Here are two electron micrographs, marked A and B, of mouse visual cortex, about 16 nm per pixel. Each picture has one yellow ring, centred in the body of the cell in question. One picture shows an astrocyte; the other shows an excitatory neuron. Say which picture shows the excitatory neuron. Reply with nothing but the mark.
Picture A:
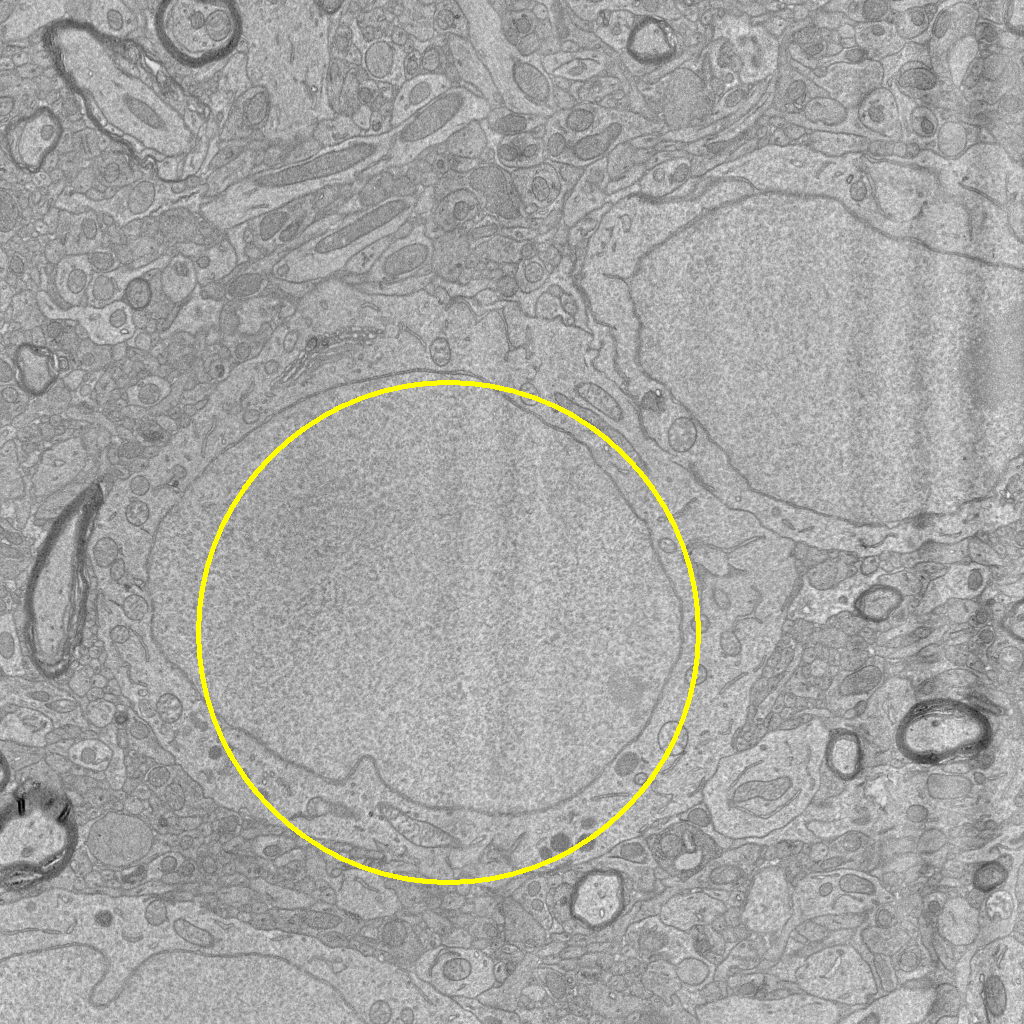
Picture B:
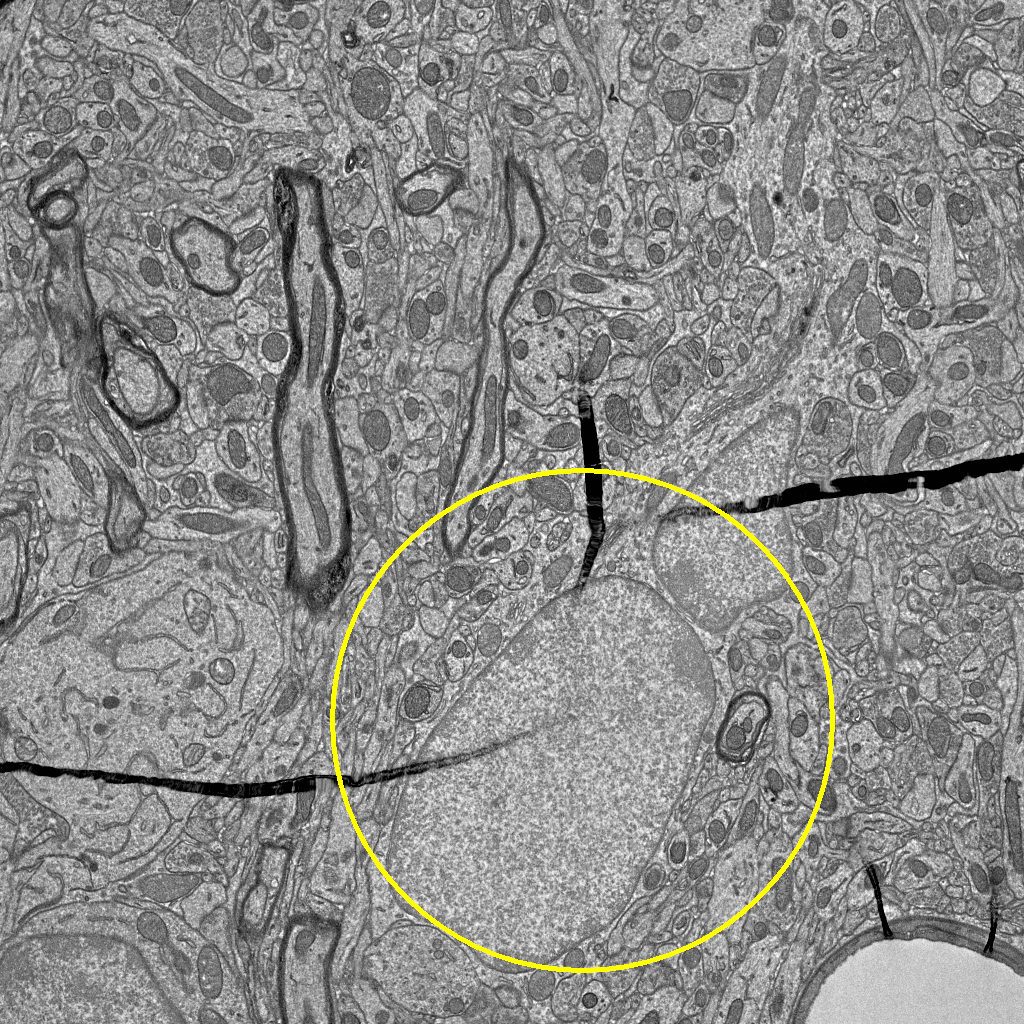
A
